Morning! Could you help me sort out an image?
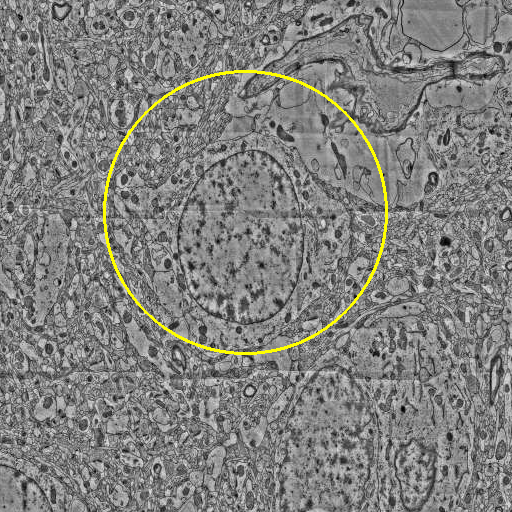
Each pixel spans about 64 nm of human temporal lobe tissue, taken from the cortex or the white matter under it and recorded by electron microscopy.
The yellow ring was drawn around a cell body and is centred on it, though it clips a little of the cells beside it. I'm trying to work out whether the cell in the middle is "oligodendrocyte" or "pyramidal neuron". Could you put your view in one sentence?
The ringed cell body is that of a pyramidal neuron.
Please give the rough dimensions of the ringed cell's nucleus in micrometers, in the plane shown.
Approximately 11 x 8 micrometres in this plane.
